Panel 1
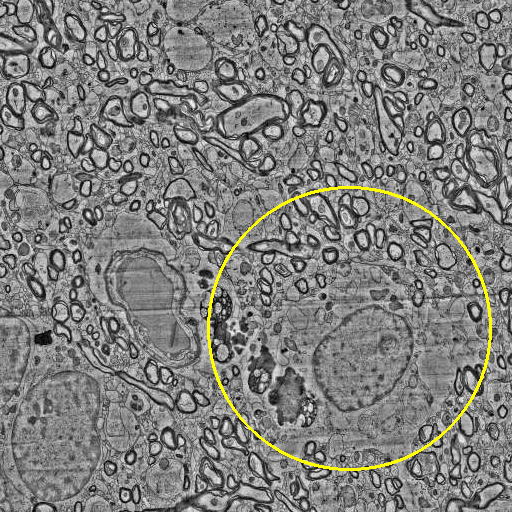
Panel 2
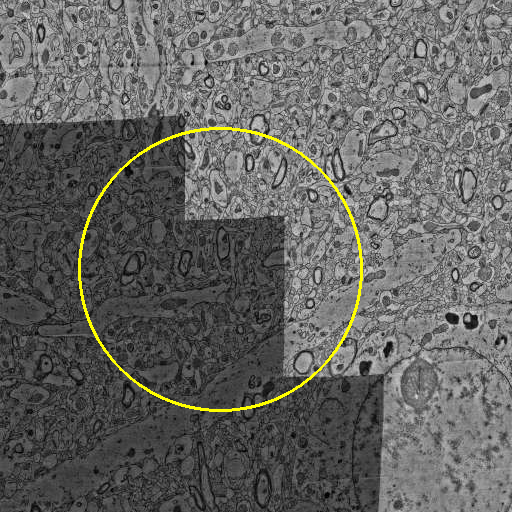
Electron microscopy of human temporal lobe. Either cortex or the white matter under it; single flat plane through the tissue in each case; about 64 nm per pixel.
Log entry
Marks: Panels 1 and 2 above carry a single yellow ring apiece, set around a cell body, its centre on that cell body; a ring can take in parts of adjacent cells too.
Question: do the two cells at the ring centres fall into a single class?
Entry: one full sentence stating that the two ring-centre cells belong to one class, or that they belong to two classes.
The two ring-centre cells in Panels 1 and 2 belong to one class.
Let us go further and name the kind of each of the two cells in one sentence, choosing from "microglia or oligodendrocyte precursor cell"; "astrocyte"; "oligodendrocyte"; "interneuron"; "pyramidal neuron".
The second cell is a microglial cell or oligodendrocyte precursor cell, just as the first is.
